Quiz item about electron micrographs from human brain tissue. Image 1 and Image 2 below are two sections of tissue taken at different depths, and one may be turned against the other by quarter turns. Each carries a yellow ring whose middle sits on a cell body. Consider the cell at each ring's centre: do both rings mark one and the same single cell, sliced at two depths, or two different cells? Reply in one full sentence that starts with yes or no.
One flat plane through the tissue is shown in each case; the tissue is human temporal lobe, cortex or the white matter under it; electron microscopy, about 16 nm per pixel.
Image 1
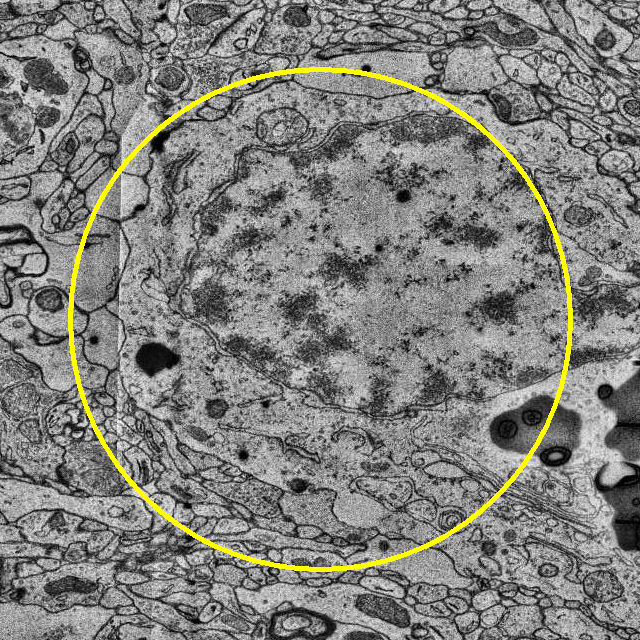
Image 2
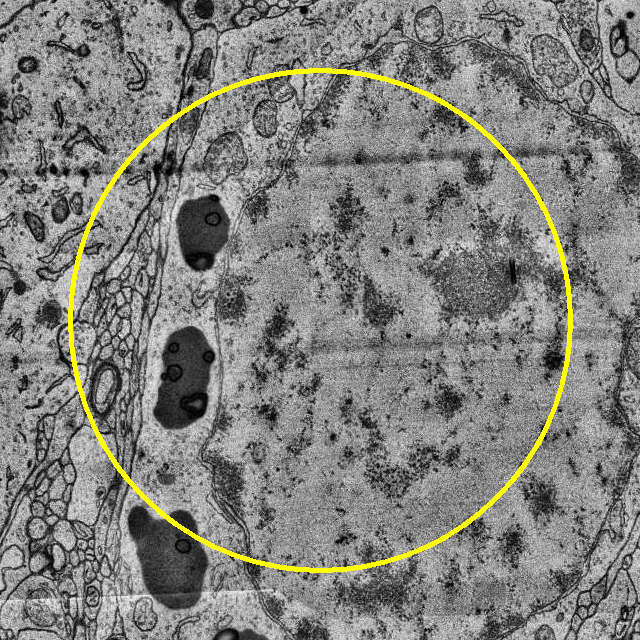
Yes, one single cell is under each of the two rings.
